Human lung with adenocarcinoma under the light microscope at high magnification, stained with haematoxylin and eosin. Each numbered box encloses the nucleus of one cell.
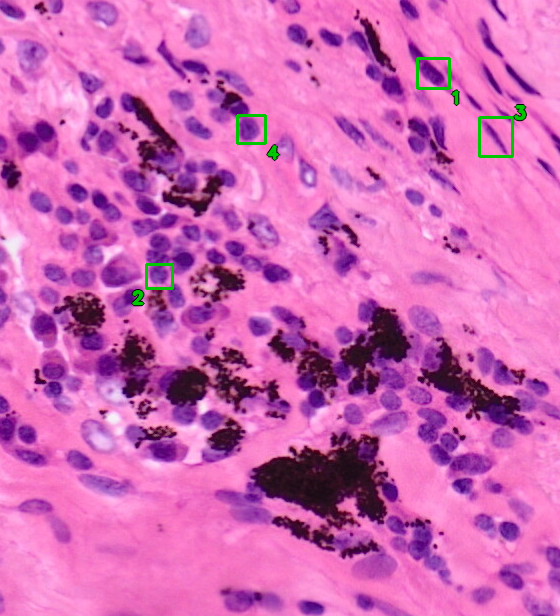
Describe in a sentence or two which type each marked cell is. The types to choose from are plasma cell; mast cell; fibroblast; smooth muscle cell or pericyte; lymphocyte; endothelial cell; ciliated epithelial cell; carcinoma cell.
Cell 1 is a plasma cell. Cells 2 and 4 are lymphocytes. Cell 3 is a fibroblast.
